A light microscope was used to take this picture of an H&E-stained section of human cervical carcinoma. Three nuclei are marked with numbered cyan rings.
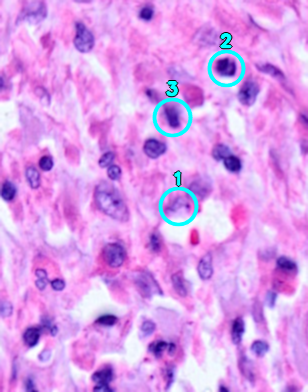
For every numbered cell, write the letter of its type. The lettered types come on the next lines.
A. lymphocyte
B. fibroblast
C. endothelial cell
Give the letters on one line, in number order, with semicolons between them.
C; A; A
